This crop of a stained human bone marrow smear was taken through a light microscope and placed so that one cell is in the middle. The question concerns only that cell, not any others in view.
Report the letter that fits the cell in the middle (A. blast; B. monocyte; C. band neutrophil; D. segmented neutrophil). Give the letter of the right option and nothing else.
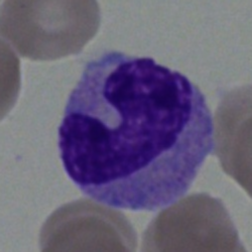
C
